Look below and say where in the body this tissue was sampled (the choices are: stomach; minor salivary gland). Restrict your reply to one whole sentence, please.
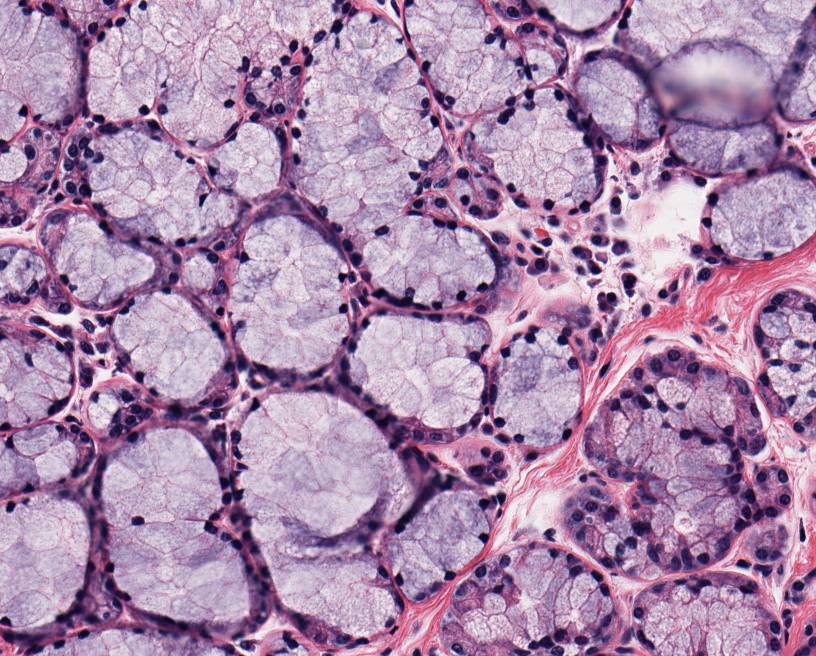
The section was prepared from tissue of the minor salivary gland.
